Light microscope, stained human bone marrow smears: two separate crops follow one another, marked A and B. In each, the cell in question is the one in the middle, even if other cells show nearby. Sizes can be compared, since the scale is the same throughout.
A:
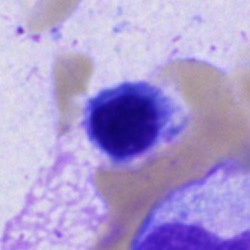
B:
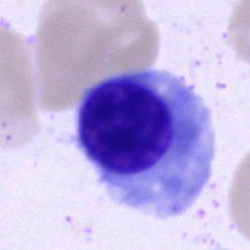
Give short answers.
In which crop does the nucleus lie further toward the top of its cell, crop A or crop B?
B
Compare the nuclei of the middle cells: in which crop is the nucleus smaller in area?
A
